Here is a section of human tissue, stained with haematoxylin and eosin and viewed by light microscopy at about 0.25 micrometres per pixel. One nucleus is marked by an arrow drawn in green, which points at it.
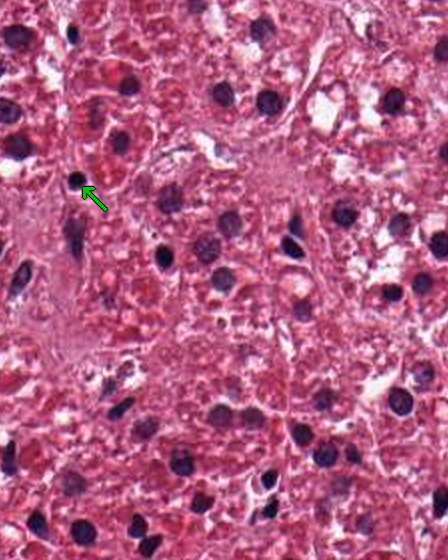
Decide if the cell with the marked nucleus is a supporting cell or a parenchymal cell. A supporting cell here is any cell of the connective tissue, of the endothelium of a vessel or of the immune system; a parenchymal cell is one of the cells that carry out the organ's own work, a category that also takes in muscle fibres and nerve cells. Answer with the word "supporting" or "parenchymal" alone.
supporting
